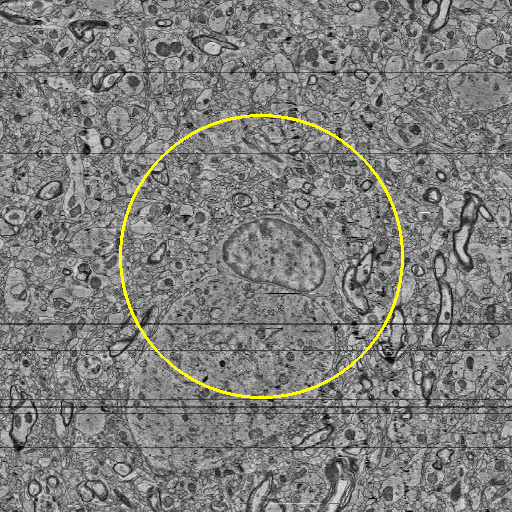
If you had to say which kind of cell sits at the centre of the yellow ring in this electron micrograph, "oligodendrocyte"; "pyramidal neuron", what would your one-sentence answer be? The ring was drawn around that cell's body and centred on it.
The cell sitting at the centre of the ring is an oligodendrocyte.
